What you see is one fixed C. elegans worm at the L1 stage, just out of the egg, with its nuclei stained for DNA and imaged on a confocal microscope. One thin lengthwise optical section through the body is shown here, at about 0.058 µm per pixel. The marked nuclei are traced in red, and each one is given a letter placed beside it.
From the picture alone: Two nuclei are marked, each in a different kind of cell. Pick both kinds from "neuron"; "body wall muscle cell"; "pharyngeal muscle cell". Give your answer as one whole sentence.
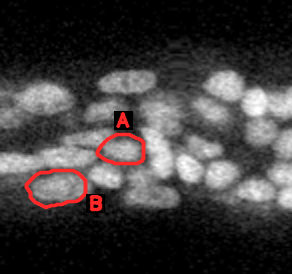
A is in a neuron and B is in a body wall muscle cell.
